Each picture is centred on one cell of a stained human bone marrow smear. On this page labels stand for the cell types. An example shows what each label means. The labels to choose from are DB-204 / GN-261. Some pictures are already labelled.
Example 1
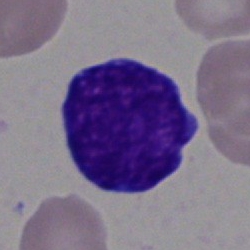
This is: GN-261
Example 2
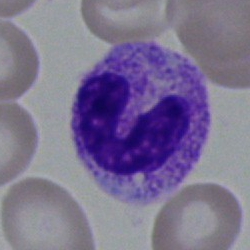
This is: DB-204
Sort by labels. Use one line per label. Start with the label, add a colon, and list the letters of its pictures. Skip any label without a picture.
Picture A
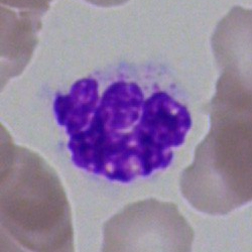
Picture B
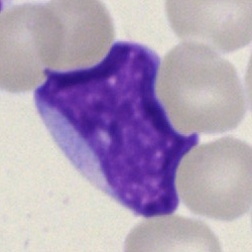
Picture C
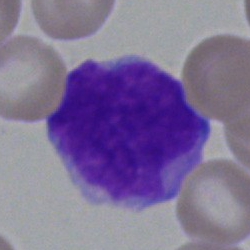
DB-204: A
GN-261: B, C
